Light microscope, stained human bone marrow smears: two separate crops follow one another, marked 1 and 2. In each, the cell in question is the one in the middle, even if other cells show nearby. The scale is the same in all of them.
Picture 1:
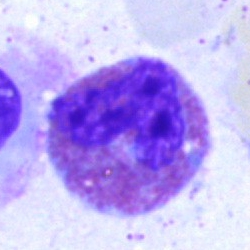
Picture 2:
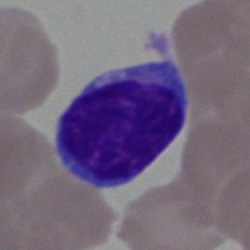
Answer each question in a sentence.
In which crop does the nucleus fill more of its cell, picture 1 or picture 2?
It is the cell in picture 2 that is filled more by its nucleus.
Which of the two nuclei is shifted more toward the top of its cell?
In picture 1 the nucleus is shifted more toward the top.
